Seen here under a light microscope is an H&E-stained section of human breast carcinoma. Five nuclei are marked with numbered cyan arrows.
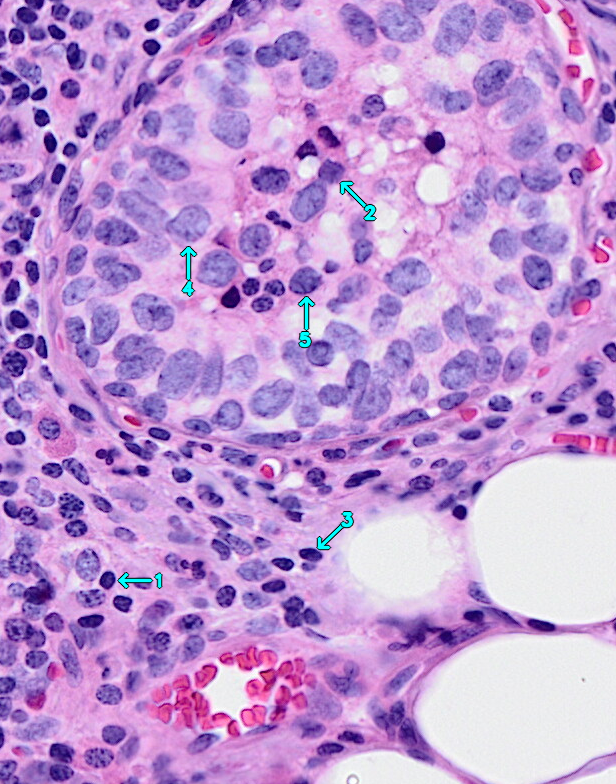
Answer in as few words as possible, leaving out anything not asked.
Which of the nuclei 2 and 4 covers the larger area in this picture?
4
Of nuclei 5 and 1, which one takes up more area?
5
